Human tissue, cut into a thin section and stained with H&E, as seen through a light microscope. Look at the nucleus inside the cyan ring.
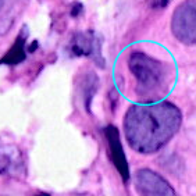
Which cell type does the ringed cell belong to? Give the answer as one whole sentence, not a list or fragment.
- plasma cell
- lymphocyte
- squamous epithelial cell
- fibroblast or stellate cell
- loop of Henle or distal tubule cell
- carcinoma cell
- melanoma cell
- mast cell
By cell type, the ringed cell is a carcinoma cell.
